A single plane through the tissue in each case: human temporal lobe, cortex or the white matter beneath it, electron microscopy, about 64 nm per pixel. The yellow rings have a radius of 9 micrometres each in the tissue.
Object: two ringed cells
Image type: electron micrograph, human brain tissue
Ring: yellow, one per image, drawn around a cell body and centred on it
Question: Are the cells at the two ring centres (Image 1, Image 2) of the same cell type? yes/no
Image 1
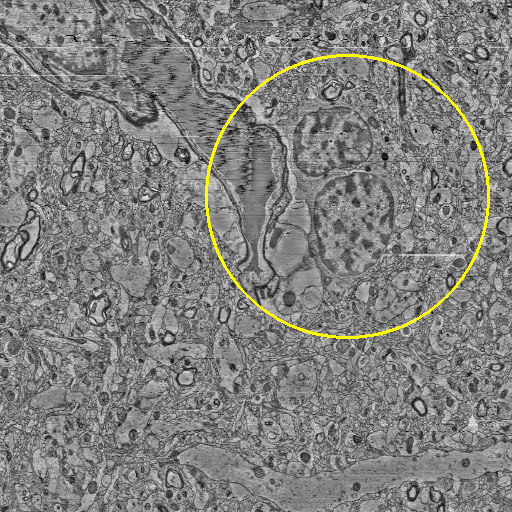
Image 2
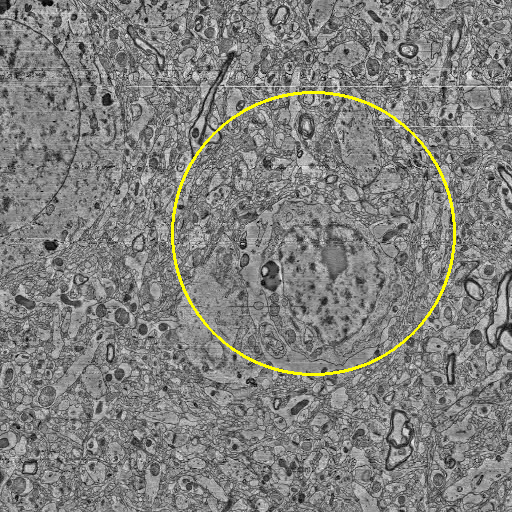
no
